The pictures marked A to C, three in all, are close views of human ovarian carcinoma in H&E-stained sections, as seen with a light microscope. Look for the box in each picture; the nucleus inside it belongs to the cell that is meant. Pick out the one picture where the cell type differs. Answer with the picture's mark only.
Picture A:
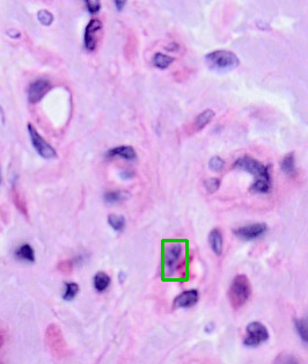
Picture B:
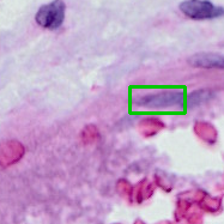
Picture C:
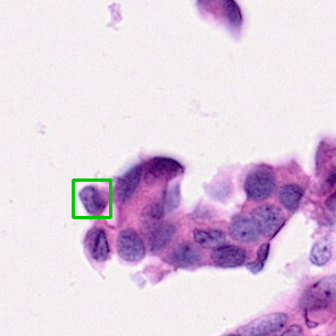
C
